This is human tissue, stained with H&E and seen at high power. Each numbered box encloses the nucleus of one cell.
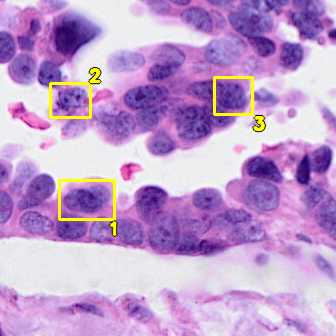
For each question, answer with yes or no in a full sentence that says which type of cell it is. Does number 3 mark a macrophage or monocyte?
No, that is wrong: cell 3 is a carcinoma cell, and not a macrophage or monocyte.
